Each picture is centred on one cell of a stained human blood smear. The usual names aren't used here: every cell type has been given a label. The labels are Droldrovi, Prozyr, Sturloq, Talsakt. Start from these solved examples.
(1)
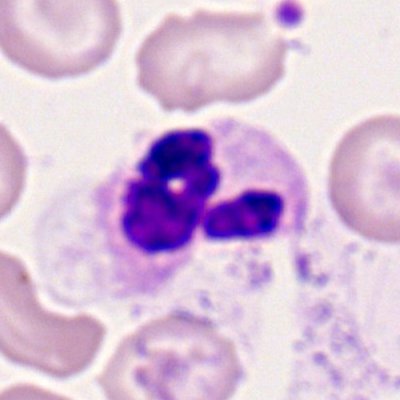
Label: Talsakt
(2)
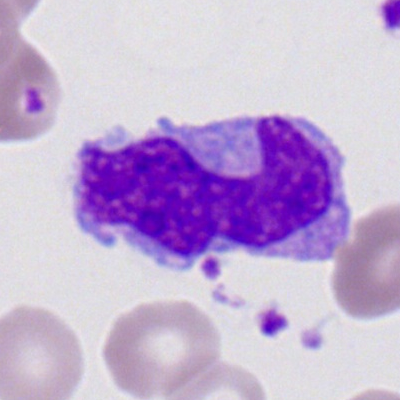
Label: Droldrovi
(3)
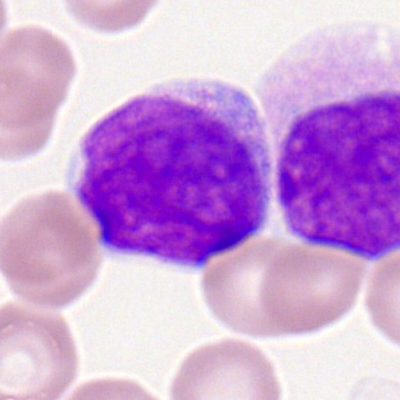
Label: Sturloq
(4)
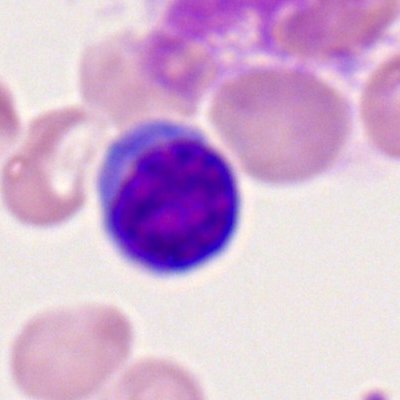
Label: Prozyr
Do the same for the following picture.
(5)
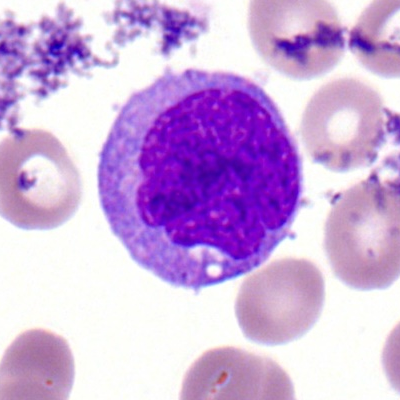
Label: Droldrovi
